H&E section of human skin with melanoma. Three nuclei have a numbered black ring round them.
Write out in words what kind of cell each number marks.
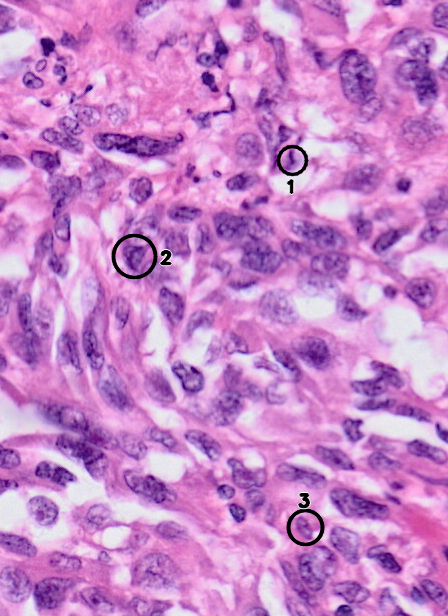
Cell 1 is a fibroblast or myofibroblast. Cell 2 is a melanoma cell. Cell 3 is a macrophage or monocyte.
